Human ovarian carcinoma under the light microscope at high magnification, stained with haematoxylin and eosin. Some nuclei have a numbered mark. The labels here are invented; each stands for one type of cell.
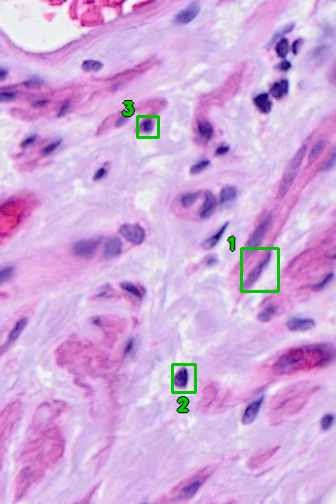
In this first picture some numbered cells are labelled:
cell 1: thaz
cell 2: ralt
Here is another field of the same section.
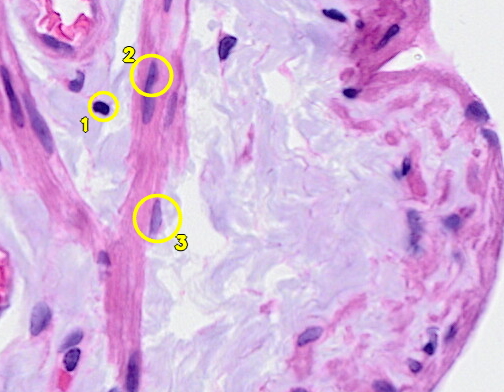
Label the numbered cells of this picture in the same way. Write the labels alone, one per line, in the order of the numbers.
ralt
thaz
thaz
